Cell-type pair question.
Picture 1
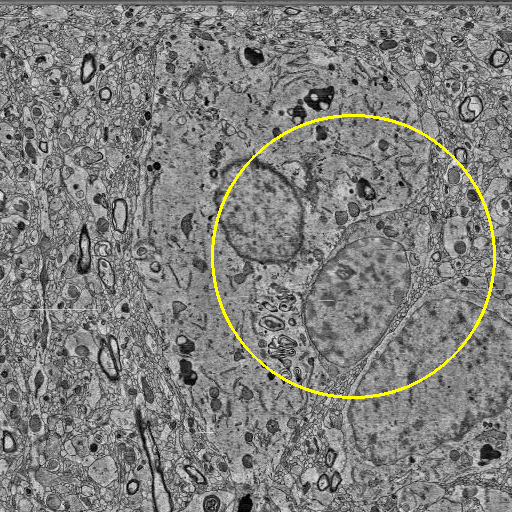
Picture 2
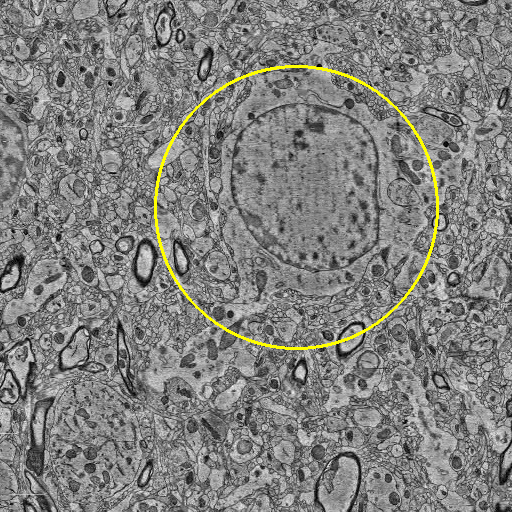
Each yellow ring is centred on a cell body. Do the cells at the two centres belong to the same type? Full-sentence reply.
No, the two cells belong to two types.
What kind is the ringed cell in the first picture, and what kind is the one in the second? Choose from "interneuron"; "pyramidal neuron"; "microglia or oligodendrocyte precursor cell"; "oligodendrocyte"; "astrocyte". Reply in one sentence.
The first cell is an oligodendrocyte; the second is an astrocyte.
